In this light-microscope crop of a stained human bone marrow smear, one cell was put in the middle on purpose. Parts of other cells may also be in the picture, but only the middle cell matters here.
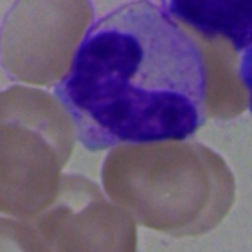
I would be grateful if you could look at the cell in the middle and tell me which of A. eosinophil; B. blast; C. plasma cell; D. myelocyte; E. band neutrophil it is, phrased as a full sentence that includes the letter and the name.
The central cell in this crop is a band neutrophil, corresponding to option E, the correct option.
